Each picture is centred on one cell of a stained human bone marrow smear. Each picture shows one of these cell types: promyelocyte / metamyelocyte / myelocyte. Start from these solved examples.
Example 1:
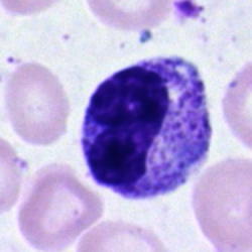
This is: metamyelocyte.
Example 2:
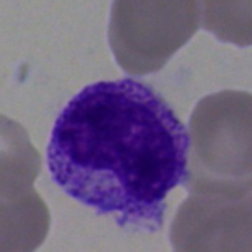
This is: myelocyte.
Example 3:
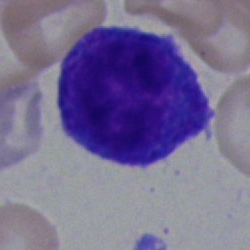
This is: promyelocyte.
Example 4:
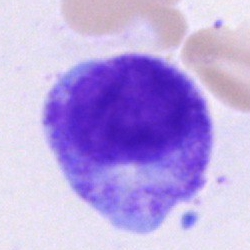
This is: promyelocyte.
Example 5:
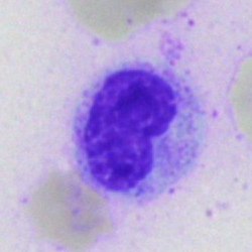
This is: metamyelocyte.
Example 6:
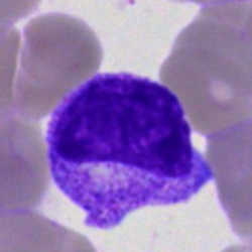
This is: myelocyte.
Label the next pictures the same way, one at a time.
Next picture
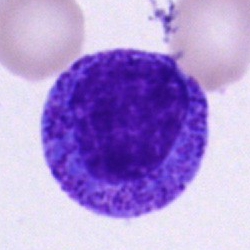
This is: promyelocyte.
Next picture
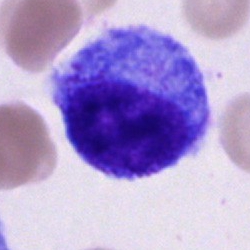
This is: promyelocyte.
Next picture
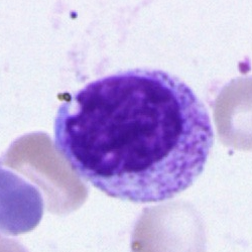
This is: myelocyte.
